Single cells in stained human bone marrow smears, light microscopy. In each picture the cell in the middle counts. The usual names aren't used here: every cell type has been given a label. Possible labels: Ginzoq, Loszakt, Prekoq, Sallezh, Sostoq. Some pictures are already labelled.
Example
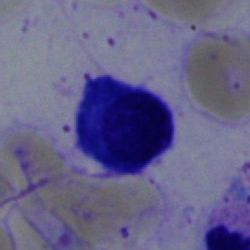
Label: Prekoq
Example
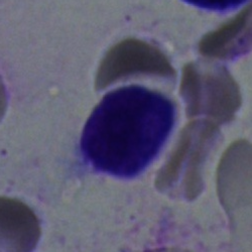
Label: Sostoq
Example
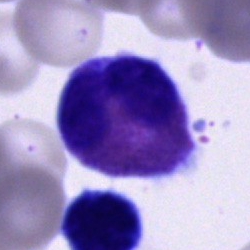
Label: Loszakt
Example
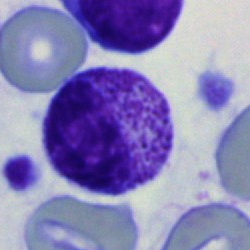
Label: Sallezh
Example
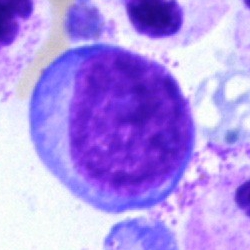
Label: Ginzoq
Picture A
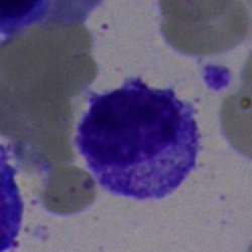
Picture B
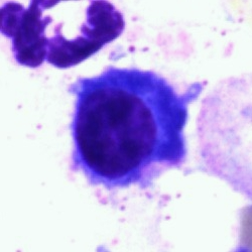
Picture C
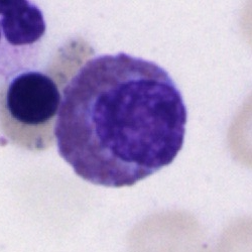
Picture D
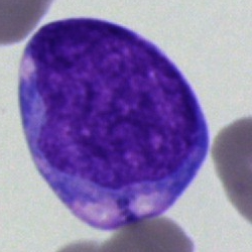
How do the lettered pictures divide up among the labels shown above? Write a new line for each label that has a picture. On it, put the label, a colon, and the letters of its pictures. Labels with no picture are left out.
Ginzoq: D
Loszakt: C
Prekoq: B
Sallezh: A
